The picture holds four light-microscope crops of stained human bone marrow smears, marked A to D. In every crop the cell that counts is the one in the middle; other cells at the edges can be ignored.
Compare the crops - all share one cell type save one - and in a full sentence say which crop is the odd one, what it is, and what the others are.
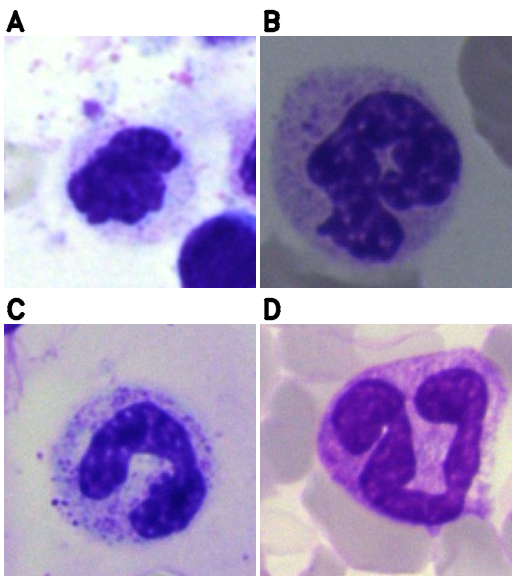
Differing from the rest, crop C shows a band neutrophil; the others all show segmented neutrophils.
